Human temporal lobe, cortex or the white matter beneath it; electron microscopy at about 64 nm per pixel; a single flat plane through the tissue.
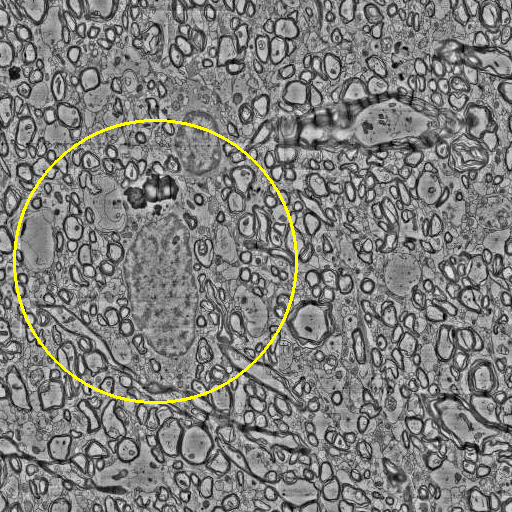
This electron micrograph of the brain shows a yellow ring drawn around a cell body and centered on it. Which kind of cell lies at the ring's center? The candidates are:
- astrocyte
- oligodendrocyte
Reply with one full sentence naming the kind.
The cell lying at the ring's center in this micrograph is an oligodendrocyte.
